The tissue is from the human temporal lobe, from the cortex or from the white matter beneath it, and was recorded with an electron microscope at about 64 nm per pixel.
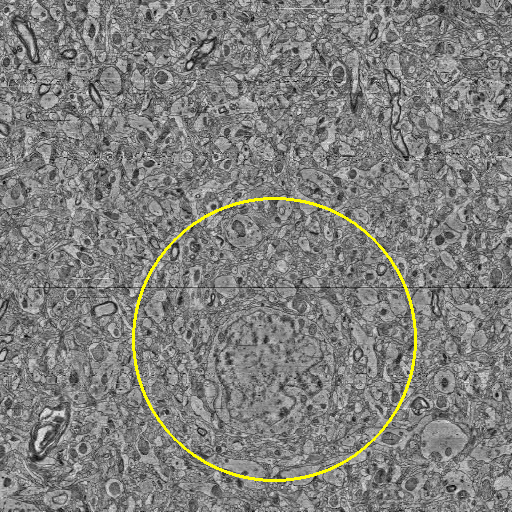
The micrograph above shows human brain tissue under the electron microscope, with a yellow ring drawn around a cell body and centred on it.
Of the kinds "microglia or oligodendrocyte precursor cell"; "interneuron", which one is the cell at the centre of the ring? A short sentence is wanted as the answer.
The one at the centre of the ring is an interneuron.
